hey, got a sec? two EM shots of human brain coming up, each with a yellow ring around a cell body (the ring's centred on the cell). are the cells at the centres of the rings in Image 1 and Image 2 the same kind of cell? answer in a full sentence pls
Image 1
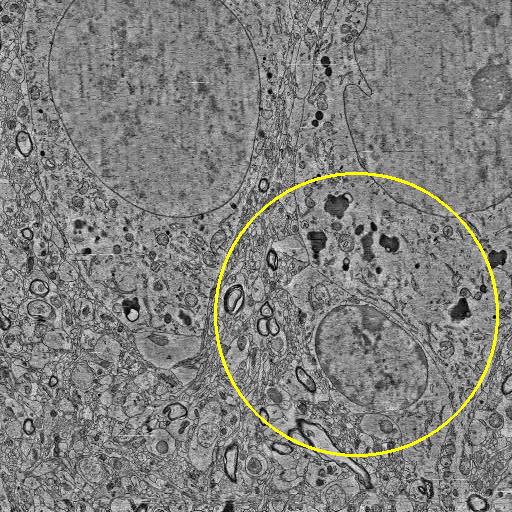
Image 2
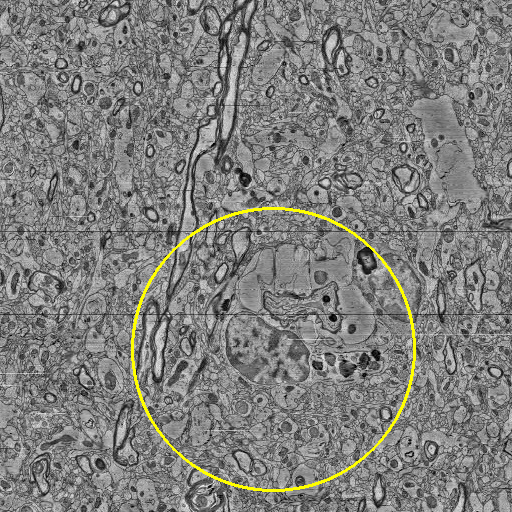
Yes, both are the same kind of cell.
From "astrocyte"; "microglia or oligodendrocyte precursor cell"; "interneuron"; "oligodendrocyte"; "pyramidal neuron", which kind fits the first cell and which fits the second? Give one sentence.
The second cell is a microglial cell or oligodendrocyte precursor cell, just as the first is.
